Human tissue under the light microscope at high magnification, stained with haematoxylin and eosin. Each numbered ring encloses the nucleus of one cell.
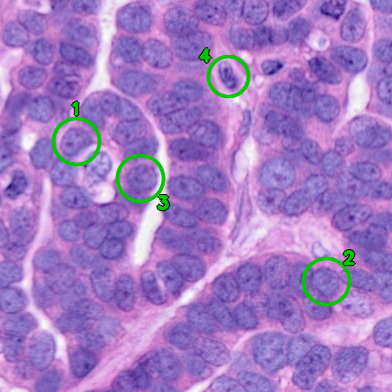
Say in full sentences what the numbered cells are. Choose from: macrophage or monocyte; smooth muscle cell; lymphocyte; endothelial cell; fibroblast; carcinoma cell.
Cell 1 is a carcinoma cell, cell 2 is a carcinoma cell, cell 3 is a carcinoma cell and cell 4 is a macrophage or monocyte.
